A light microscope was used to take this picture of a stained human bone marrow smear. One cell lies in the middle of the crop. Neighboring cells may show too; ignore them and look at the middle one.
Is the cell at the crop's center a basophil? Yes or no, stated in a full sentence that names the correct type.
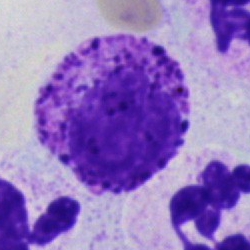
Yes, the cell at the middle of the field is to be classed as a basophil.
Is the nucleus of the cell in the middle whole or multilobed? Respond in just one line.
The nucleus holds together as a single compact mass, round, oval or kidney-like.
